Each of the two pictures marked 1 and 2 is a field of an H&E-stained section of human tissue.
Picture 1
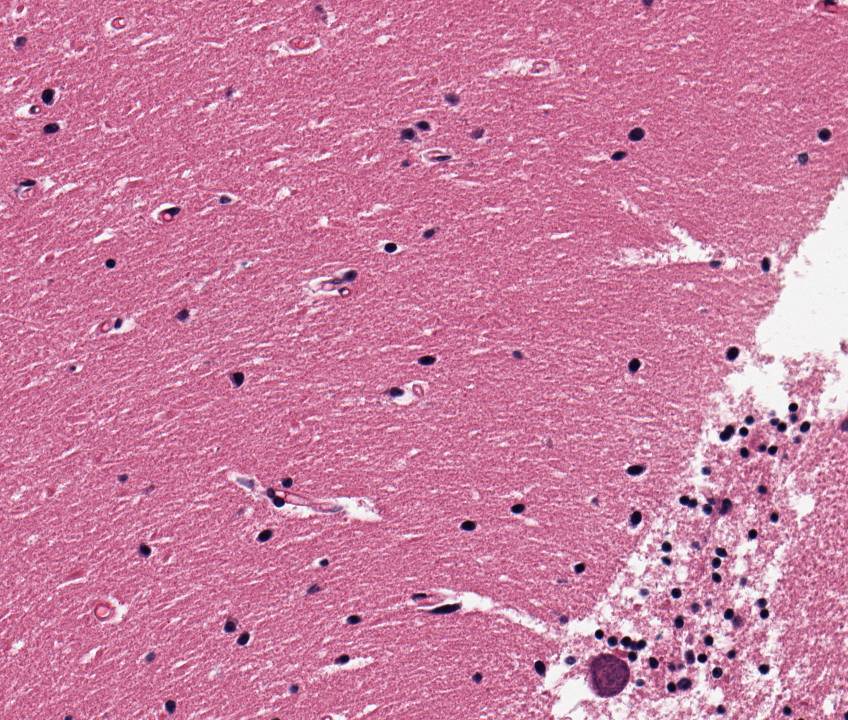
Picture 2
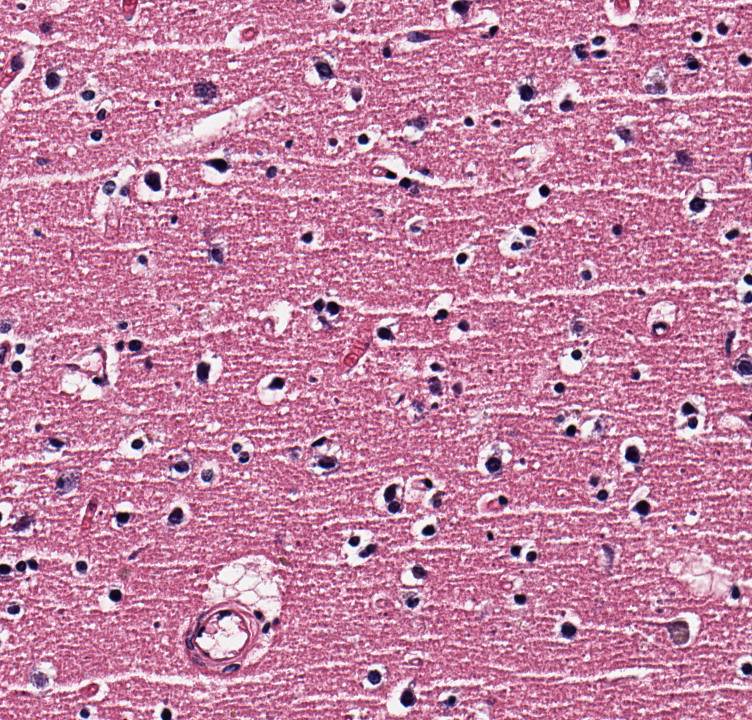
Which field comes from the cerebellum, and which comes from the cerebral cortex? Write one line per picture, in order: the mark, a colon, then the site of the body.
1: cerebellum
2: cerebral cortex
